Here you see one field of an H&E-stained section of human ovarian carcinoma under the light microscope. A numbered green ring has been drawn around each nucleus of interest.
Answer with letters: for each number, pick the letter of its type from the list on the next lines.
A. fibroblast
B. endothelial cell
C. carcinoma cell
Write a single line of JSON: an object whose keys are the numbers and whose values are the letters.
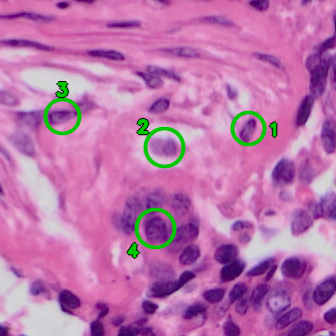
{"1": "A", "2": "A", "3": "A", "4": "C"}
